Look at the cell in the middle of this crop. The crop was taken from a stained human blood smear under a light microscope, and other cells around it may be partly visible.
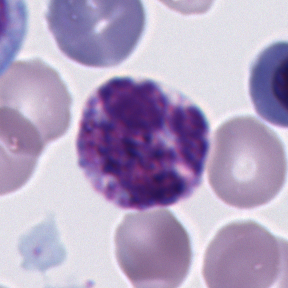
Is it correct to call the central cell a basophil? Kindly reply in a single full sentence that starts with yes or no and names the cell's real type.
Yes, that middle cell in the crop is a basophil.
